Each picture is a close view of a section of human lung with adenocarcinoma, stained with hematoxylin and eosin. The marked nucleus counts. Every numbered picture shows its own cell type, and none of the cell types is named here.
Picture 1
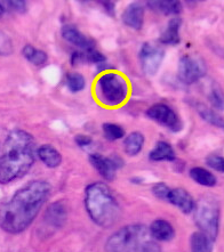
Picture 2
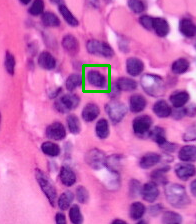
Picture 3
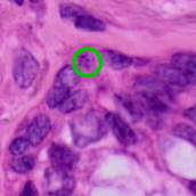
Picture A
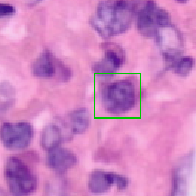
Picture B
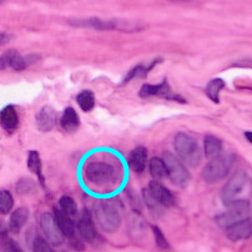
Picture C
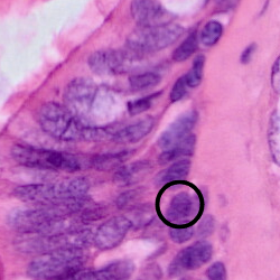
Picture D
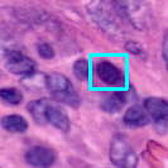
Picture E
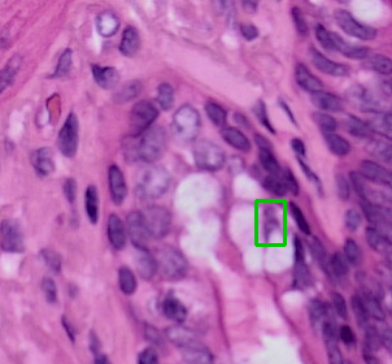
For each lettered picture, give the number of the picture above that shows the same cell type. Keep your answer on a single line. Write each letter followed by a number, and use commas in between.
A 1, B 3, C 3, D 1, E 3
